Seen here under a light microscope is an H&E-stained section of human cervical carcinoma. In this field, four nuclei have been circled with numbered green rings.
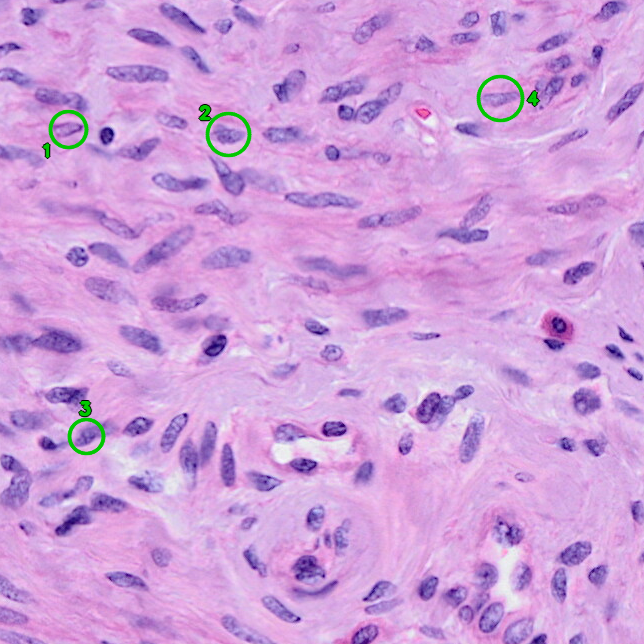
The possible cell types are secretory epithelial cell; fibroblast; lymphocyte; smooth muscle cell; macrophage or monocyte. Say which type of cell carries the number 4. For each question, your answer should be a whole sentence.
The label 4 in this section denotes a smooth muscle cell.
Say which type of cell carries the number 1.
Looking at the numbered marks, cell 1 is a smooth muscle cell.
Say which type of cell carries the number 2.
Identified by the number 2, the cell is a smooth muscle cell.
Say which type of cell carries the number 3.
Cell 3 in the field is a fibroblast.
